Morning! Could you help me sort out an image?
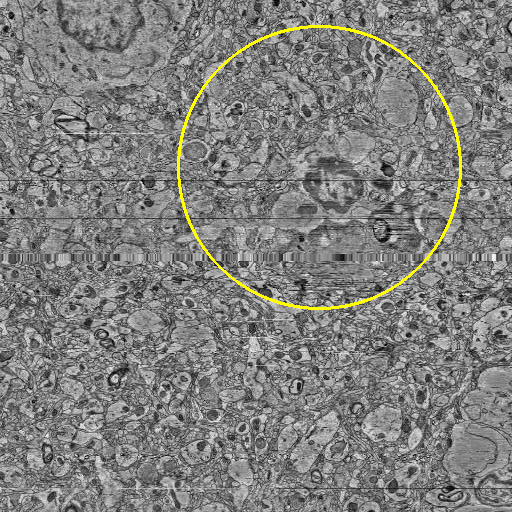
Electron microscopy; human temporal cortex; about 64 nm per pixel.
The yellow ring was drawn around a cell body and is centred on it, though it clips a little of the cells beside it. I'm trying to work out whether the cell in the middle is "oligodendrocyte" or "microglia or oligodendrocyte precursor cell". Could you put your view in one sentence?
The ringed cell body is that of a microglial cell or oligodendrocyte precursor cell.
